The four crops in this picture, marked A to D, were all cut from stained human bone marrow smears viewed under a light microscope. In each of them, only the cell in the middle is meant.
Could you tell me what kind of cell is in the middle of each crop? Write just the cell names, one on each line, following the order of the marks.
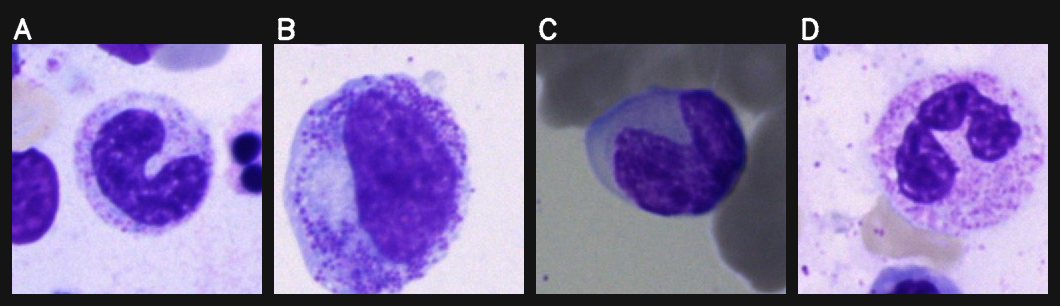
band neutrophil
promyelocyte
monocyte
segmented neutrophil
